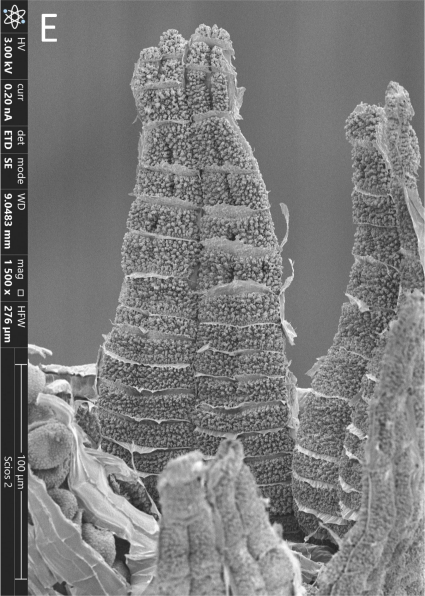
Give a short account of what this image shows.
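Two paired peristome teeth of a moss capsule are seen from their internal side in a scanning electron micrograph. The teeth stand side by side, joined along their length, and taper toward blunt tips. Each is divided by evenly spaced thin transverse ridges into a stack of short plates, and a faint lengthwise line runs down the middle of the pair. The surface between the ridges is densely covered with small rounded granules that give a coarse, bumpy texture. Parts of neighbouring teeth rise at the right and in the foreground, and torn membranous material lies at the lower left.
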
